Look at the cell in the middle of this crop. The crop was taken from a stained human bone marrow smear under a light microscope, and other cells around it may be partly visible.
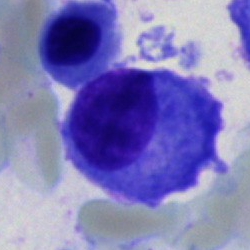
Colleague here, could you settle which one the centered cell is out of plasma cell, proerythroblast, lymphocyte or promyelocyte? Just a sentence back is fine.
The middle of this crop is occupied by a plasma cell.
